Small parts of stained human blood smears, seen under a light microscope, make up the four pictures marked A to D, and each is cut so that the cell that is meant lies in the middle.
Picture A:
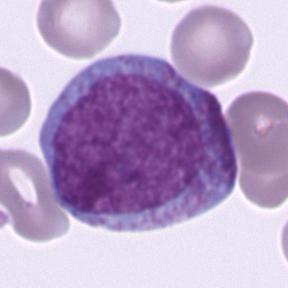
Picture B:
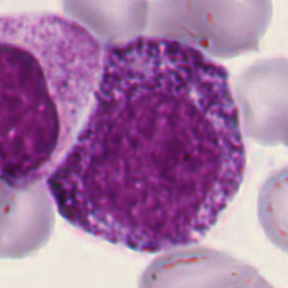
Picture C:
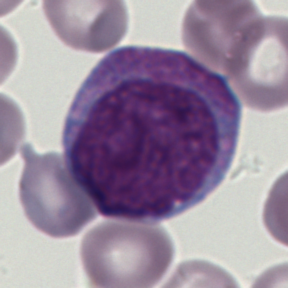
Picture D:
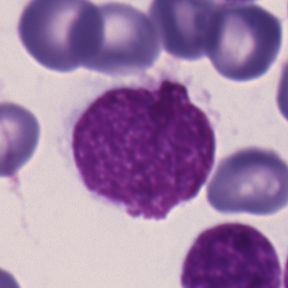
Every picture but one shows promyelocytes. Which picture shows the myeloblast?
D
